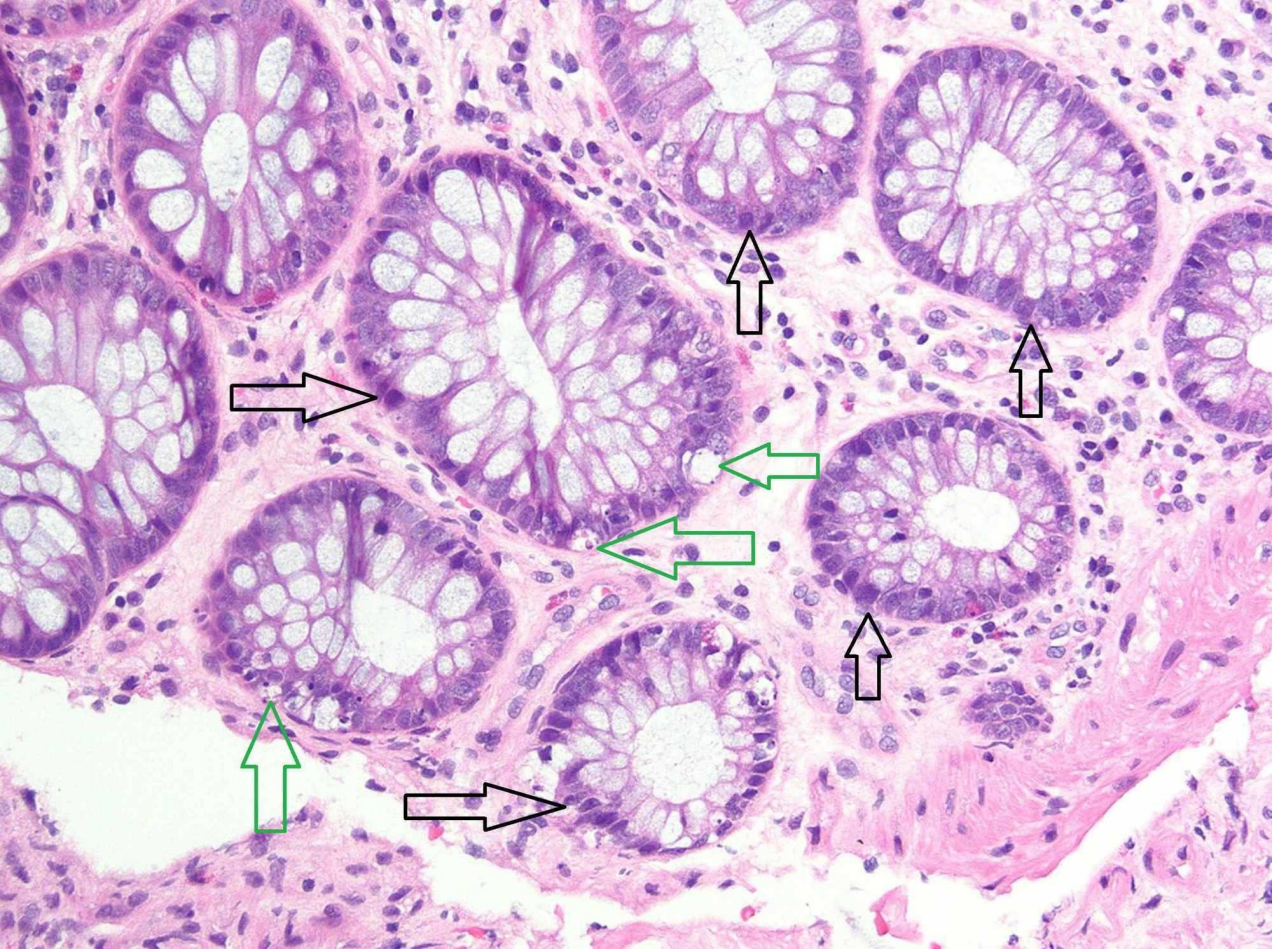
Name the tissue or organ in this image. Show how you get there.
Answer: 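Round glands cut in cross-section are rich in pale mucin-filled goblet cells. Cellular connective tissue lies between the glands. Pink bundles of smooth muscle lie at the lower right.
Hence: colonic mucosa.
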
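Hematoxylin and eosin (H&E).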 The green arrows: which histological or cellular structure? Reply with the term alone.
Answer: Apoptotic bodies.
